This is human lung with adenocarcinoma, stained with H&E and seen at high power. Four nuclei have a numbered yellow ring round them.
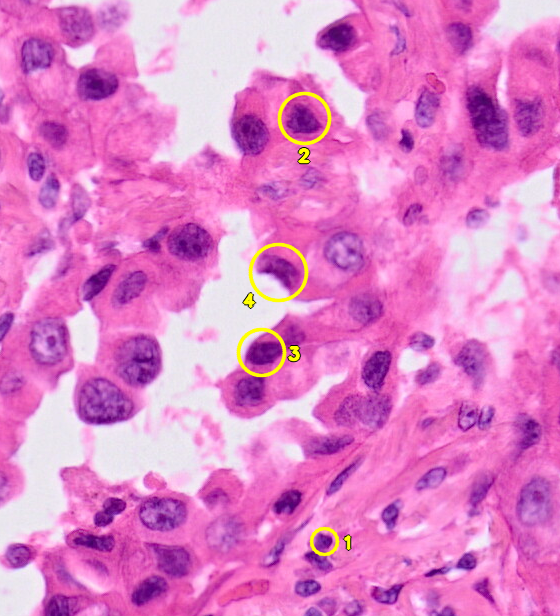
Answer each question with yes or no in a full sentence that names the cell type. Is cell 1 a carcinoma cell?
No, that is wrong: cell 1 is a lymphocyte, and not a carcinoma cell.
